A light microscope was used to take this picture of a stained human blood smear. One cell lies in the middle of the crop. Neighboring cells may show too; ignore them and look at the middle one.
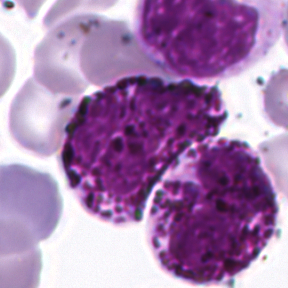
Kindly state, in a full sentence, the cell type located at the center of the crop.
The cell at the middle of the frame should be recorded as a basophil.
